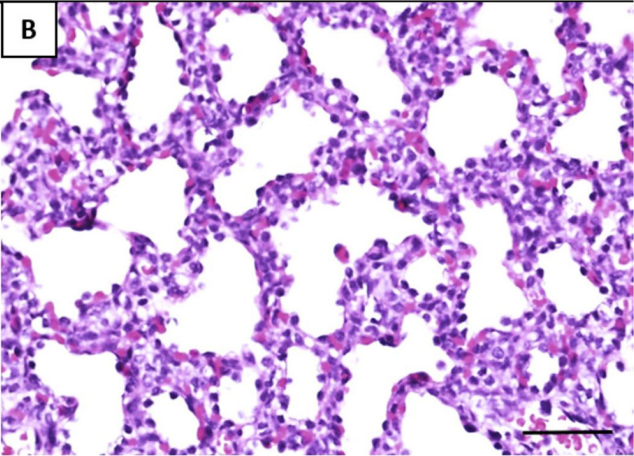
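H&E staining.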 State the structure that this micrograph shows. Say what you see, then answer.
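Cellular walls with many nuclei separate round empty air spaces. The walls are broad and crowded with nuclei.
Hence: alveolar septae.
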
